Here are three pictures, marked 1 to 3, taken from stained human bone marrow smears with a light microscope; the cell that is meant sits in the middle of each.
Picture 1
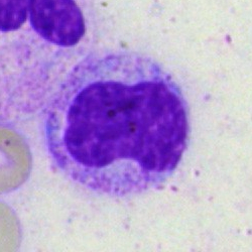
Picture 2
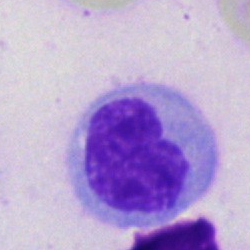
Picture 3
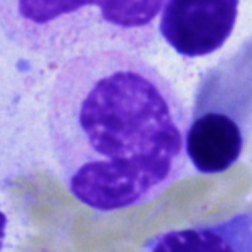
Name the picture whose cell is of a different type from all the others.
2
